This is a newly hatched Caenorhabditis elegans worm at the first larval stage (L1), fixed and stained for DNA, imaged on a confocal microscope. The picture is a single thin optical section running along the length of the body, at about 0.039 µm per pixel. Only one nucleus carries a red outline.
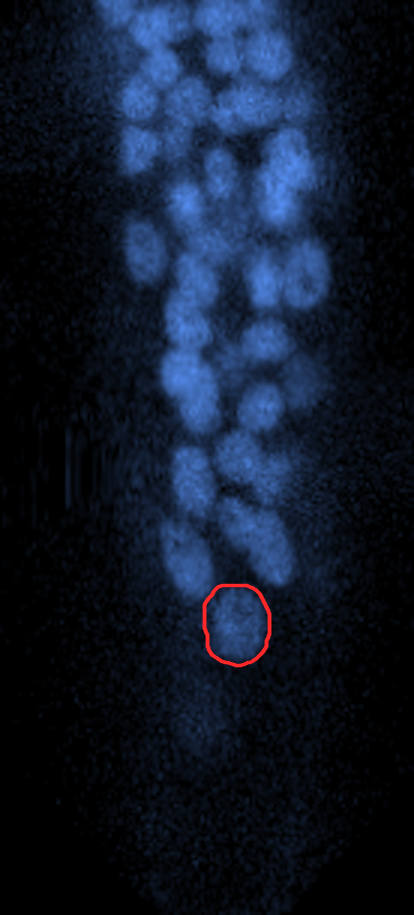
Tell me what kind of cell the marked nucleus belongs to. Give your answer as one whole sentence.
The nucleus comes from a hypodermal cell (hyp).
